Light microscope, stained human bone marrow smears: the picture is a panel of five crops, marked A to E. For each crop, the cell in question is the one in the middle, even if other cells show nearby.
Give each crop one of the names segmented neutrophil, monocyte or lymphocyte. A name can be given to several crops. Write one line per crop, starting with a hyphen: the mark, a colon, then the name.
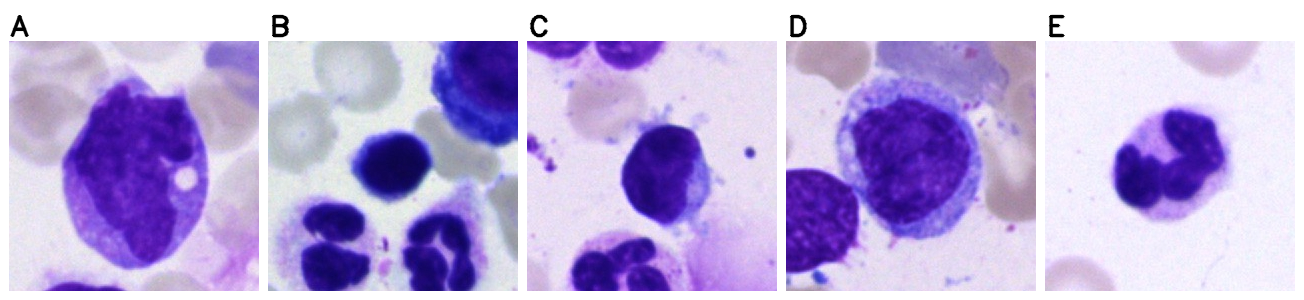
- A: monocyte
- B: lymphocyte
- C: lymphocyte
- D: monocyte
- E: segmented neutrophil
